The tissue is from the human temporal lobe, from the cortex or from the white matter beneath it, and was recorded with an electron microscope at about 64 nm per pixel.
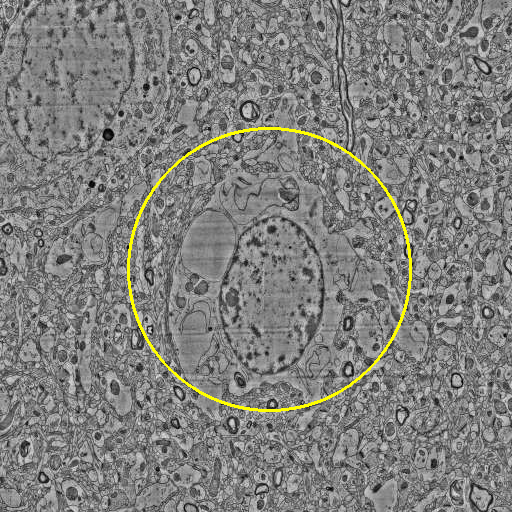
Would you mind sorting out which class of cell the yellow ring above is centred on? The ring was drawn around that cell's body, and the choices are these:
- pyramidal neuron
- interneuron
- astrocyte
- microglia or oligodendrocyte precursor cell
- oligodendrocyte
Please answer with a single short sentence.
This is the cell body of an astrocyte.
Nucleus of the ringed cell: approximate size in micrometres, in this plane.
About 10 by 7 micrometres in this plane; clearly longer than it is wide.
